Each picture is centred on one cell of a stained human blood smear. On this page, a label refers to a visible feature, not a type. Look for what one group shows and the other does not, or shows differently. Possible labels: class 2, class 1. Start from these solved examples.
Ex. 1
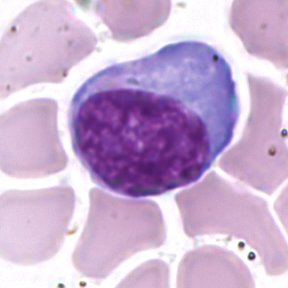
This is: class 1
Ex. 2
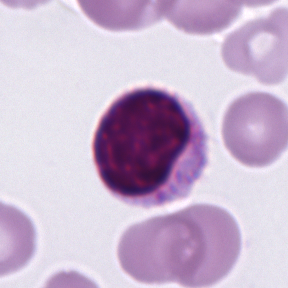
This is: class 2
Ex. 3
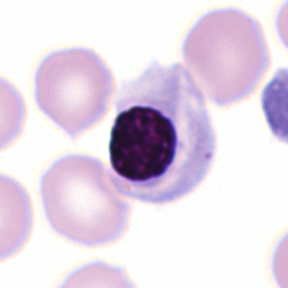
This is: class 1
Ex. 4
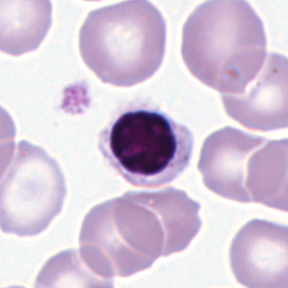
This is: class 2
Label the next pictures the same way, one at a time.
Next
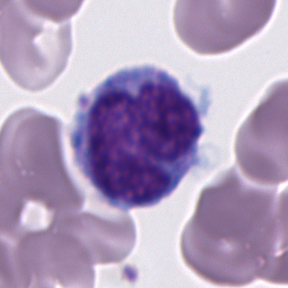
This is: class 2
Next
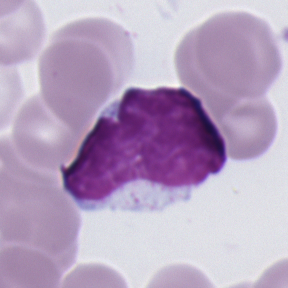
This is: class 2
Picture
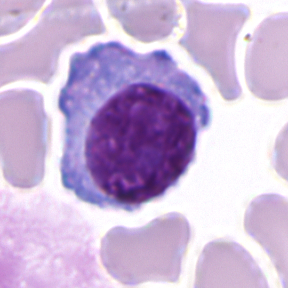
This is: class 1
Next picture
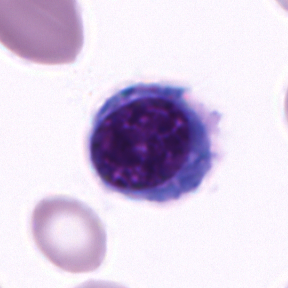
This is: class 2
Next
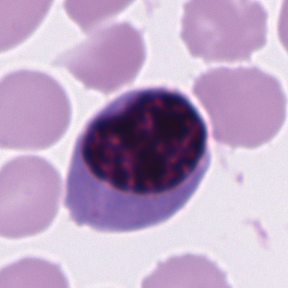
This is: class 1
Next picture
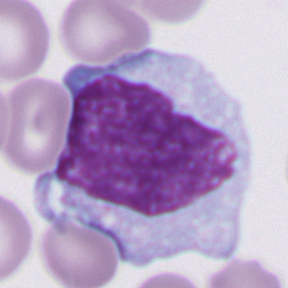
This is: class 1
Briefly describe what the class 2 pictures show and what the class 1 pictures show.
Seen in class 2: scant cytoplasm; seen in class 1: abundant cytoplasm.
